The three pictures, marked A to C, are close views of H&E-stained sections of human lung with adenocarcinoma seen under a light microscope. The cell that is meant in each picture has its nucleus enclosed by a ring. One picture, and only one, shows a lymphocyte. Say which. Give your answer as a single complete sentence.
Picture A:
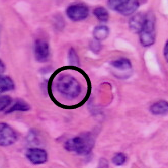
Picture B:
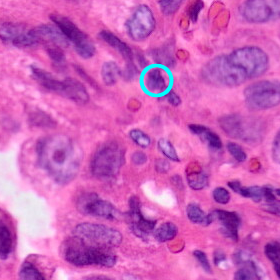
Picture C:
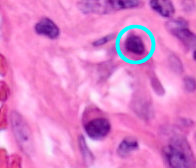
It is picture B that shows the lymphocyte.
